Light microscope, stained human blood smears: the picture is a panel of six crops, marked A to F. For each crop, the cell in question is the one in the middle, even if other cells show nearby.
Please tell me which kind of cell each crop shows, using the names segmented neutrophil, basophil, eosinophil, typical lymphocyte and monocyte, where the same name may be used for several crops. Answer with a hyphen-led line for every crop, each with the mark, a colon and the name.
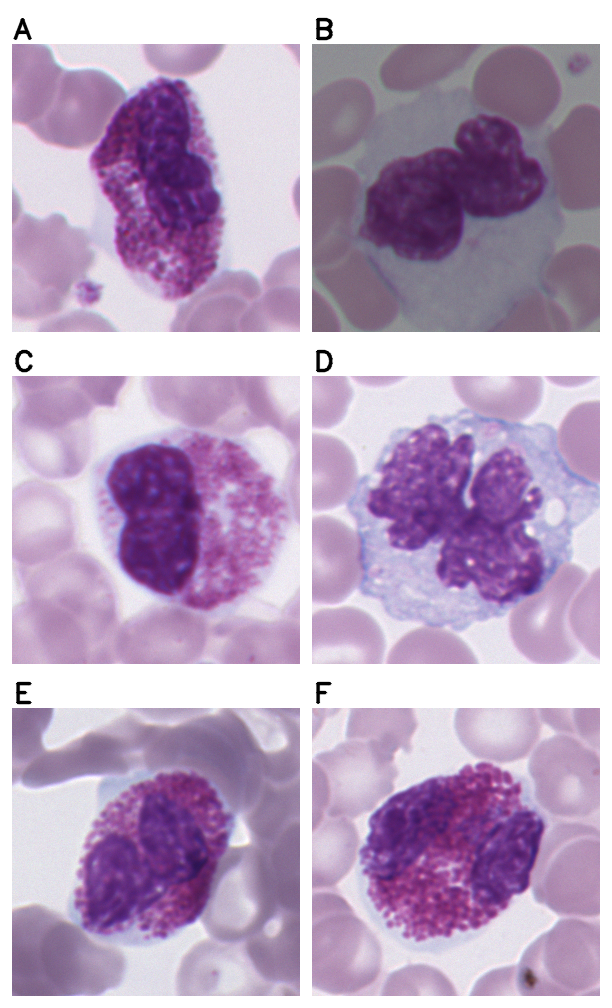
- A: eosinophil
- B: monocyte
- C: eosinophil
- D: monocyte
- E: eosinophil
- F: eosinophil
